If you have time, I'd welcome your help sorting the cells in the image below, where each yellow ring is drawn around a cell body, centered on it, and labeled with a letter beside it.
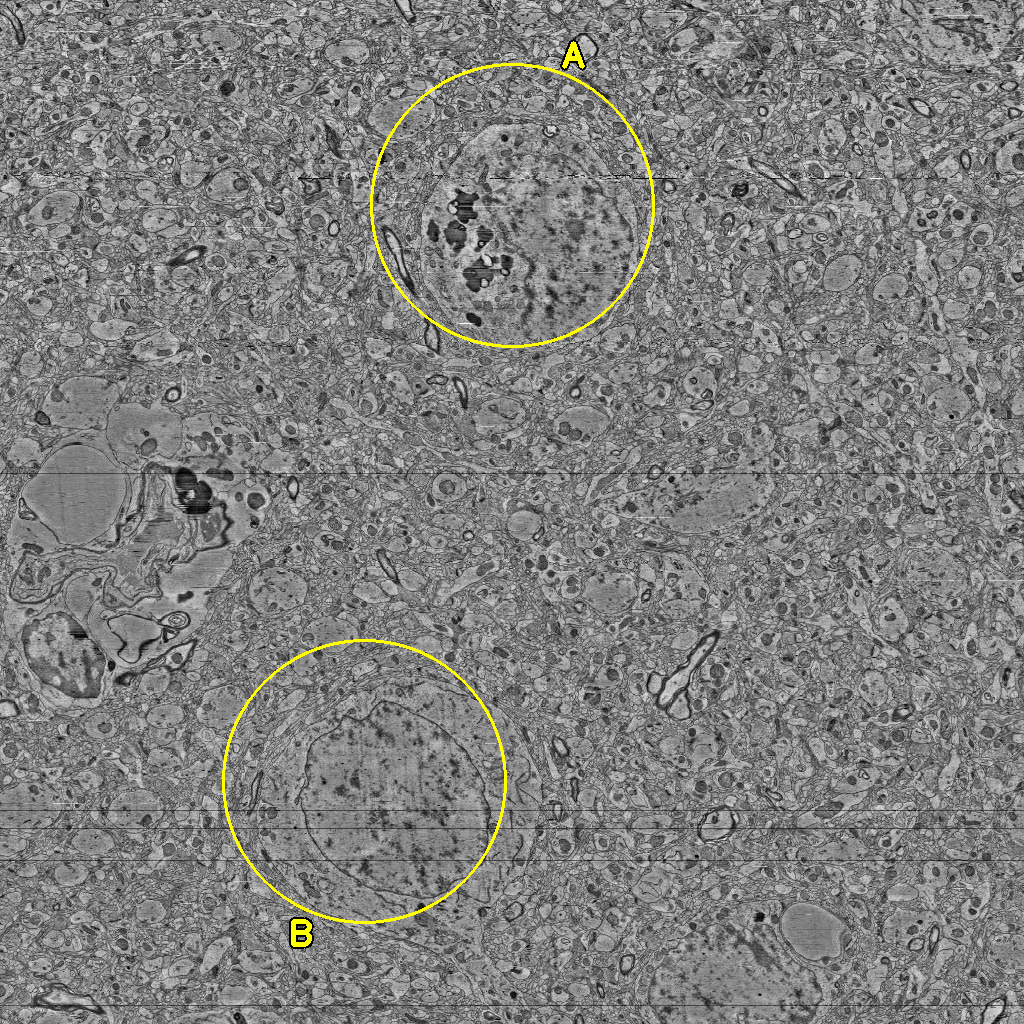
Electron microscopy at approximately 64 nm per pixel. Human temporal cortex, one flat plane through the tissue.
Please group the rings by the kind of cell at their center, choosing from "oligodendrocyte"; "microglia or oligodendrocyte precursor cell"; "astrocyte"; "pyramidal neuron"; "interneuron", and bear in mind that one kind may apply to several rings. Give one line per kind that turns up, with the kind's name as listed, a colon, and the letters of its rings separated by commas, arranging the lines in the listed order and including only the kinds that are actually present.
pyramidal neuron: B
interneuron: A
